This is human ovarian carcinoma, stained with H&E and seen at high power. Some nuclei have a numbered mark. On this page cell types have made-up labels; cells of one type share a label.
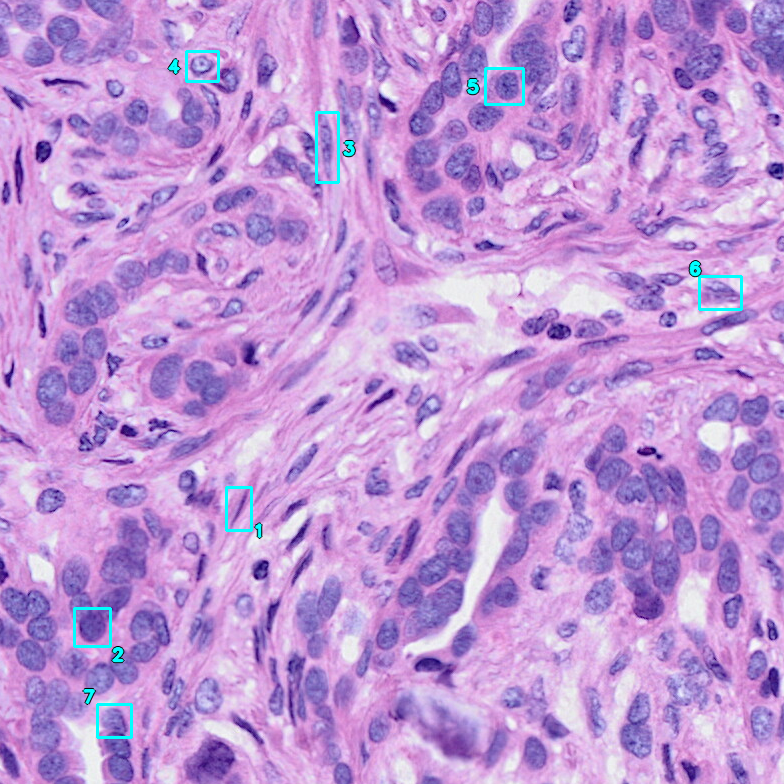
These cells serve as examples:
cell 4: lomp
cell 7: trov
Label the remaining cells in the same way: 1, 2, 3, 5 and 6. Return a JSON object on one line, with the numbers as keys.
{"1": "lomp", "2": "trov", "3": "lomp", "5": "trov", "6": "lomp"}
